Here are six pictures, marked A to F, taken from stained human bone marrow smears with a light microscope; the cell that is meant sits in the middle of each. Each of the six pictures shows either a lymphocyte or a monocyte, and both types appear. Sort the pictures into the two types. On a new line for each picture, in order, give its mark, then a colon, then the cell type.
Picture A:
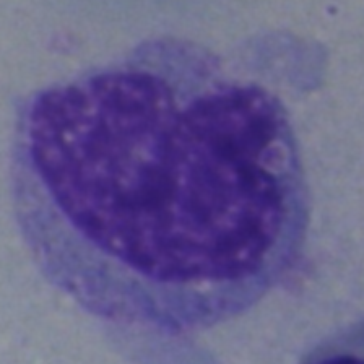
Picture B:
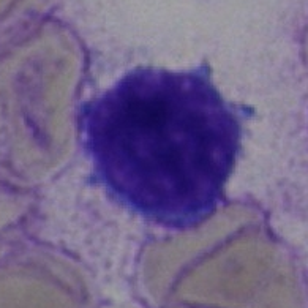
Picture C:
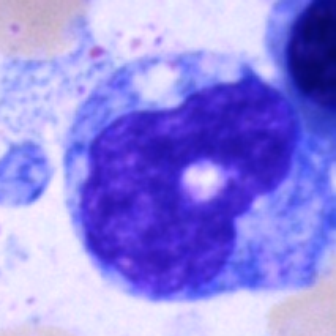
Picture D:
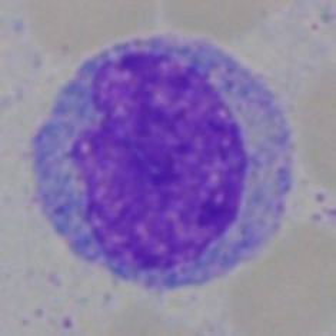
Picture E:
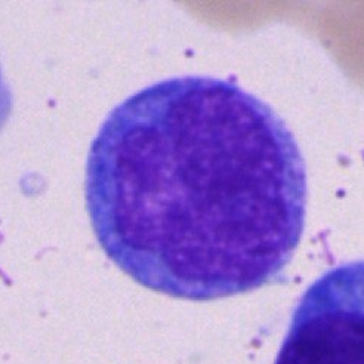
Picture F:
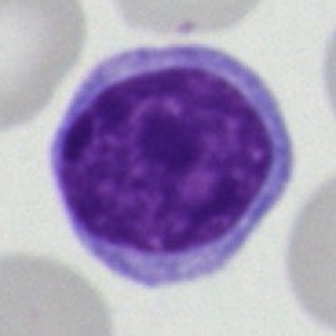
A: monocyte
B: lymphocyte
C: monocyte
D: monocyte
E: monocyte
F: lymphocyte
